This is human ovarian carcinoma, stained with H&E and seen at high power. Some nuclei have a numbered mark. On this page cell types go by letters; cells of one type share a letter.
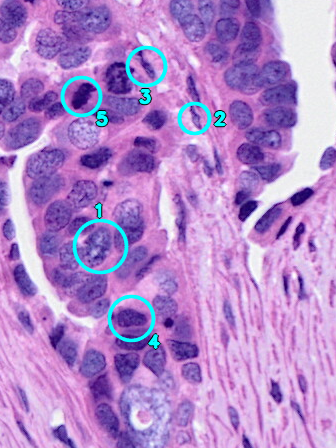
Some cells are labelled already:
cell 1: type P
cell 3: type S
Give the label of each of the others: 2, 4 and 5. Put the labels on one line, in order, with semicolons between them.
type S; type P; type P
